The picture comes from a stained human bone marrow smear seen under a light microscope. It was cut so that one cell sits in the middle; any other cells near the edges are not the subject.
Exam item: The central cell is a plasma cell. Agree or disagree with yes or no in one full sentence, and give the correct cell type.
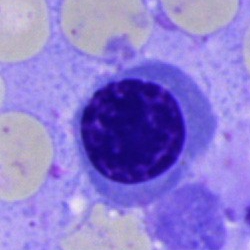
No, the central cell is counted as an erythroblast instead of a plasma cell.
